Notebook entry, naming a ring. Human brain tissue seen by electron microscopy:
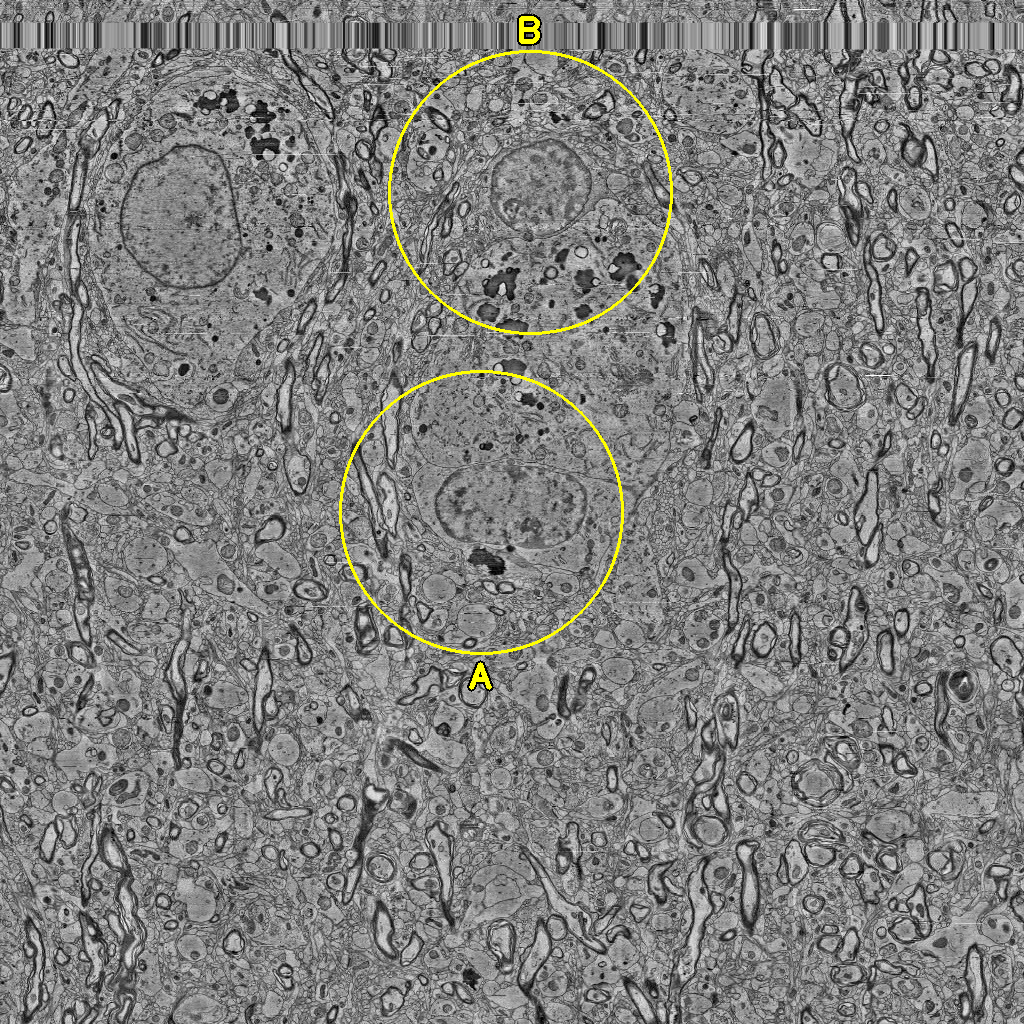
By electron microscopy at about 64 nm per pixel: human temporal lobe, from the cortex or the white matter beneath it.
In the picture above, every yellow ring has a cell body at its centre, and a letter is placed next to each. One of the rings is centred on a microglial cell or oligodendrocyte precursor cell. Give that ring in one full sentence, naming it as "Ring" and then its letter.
Ring A is the ring whose centre holds the cell asked for.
